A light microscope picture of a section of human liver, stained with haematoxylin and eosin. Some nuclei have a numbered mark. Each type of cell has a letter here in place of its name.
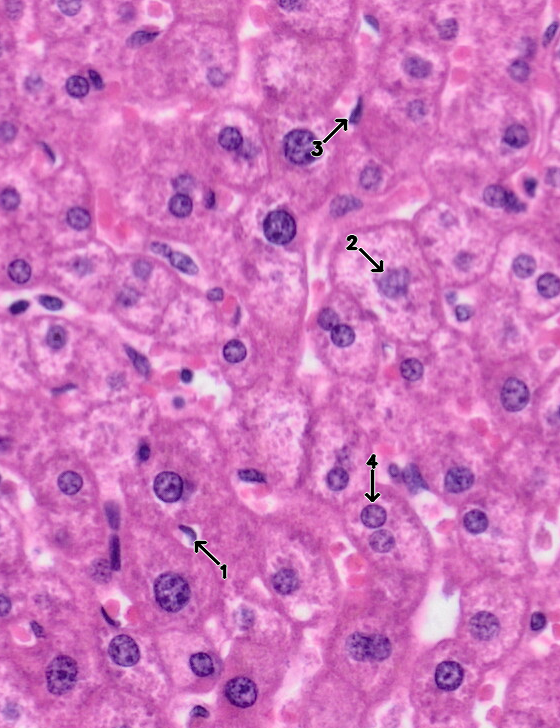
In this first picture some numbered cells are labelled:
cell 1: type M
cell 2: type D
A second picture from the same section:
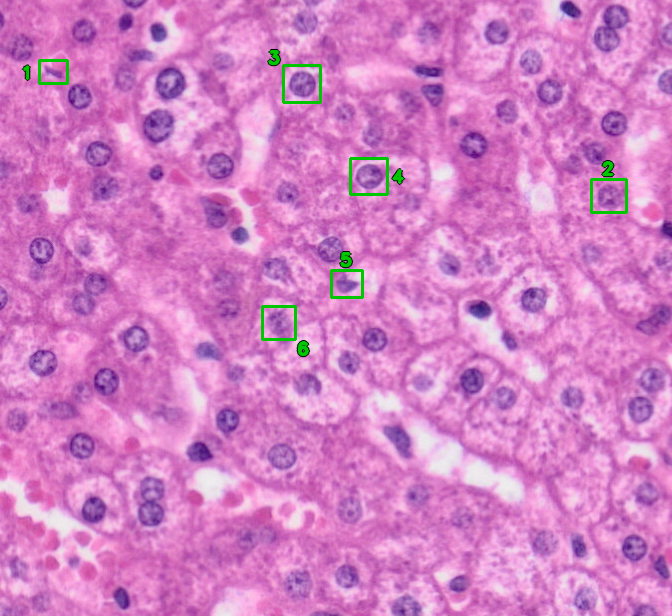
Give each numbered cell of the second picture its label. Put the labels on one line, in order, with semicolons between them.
type M; type D; type D; type D; type M; type D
